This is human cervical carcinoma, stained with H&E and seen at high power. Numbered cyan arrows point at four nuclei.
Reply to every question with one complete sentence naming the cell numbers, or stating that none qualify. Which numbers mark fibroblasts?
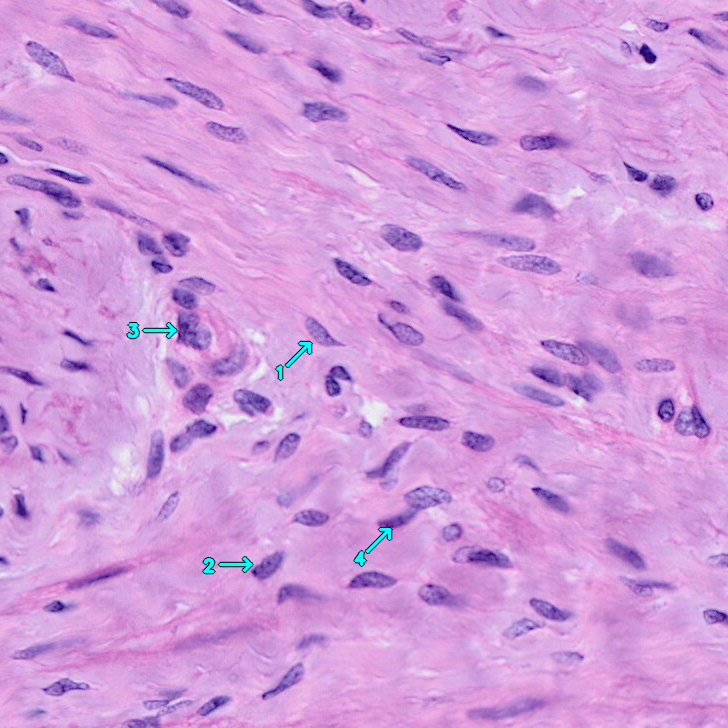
By cell type, the cells numbered 1, 2 and 4 are fibroblasts.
